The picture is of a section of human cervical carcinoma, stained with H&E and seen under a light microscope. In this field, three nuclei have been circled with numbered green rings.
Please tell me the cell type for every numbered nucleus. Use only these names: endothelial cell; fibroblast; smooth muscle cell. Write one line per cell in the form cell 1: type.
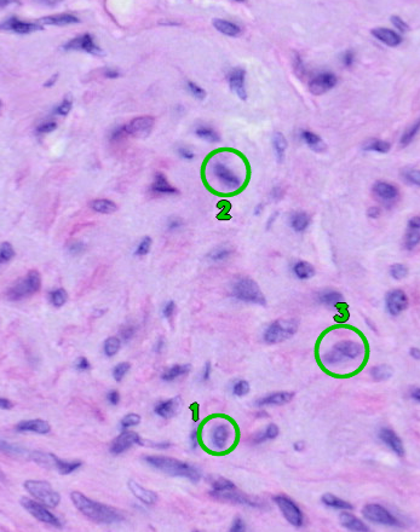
cell 1: smooth muscle cell
cell 2: fibroblast
cell 3: smooth muscle cell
